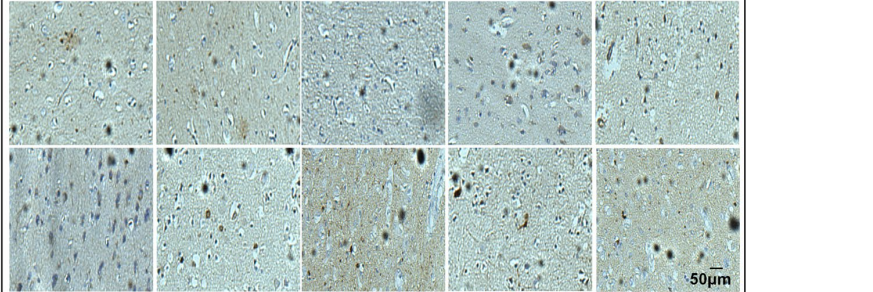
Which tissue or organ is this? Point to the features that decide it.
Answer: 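Normal cerebral. Fine fibrillary neuropil background. Sparse scattered nuclei.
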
